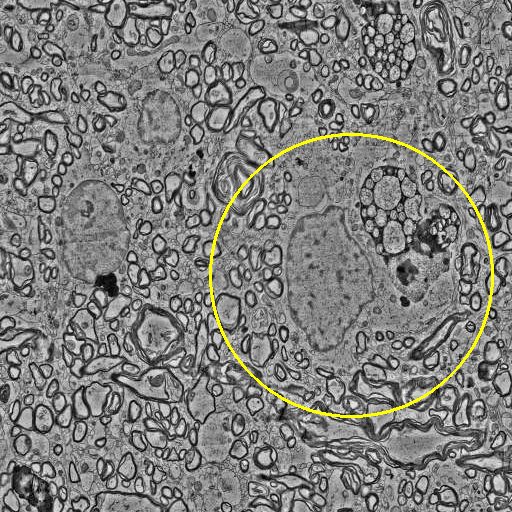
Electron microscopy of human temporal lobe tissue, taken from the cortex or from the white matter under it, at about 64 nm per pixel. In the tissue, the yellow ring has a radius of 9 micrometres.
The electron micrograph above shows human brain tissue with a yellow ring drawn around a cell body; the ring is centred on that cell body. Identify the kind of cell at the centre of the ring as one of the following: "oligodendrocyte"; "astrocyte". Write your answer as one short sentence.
The cell at the centre of the ring is an astrocyte.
